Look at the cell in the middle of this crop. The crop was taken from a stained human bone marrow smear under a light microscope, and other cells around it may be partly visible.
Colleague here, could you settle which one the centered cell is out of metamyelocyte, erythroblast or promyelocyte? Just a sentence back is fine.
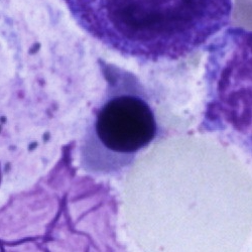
The cell at the heart of this crop is an erythroblast.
